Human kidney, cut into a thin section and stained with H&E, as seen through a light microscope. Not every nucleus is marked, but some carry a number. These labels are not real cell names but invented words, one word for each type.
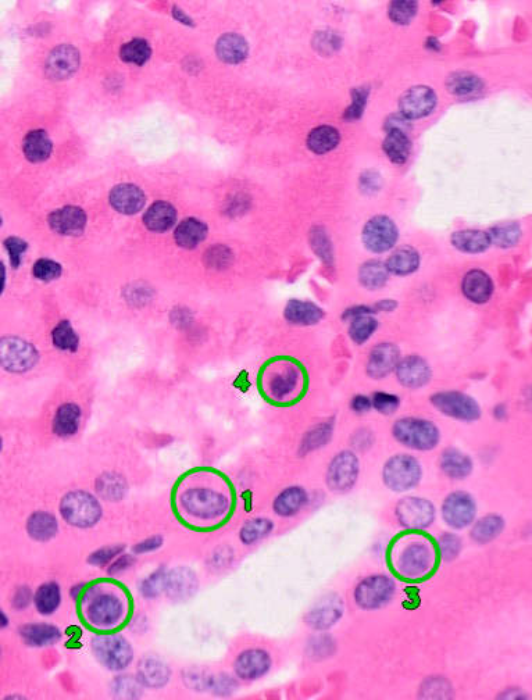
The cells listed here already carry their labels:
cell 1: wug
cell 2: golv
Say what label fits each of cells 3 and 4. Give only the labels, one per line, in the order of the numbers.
golv
wug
